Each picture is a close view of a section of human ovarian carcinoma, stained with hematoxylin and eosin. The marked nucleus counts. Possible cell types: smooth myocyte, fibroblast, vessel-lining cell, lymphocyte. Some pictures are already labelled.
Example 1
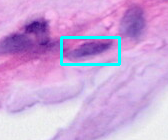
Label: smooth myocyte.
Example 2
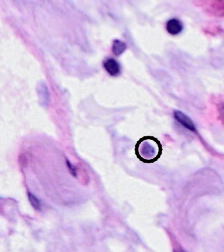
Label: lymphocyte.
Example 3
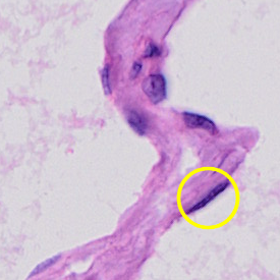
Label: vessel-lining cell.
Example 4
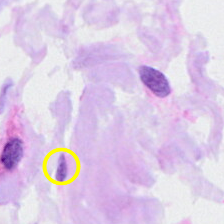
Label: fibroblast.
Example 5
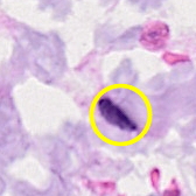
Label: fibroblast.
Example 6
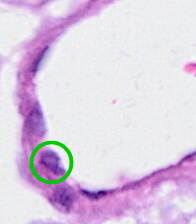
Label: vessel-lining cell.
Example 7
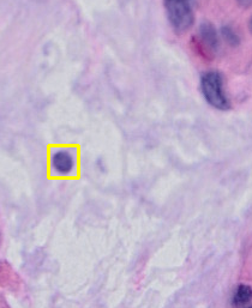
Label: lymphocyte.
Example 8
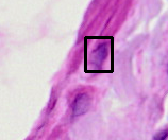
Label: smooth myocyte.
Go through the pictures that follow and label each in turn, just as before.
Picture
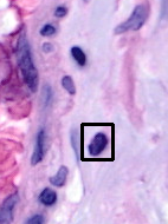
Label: lymphocyte.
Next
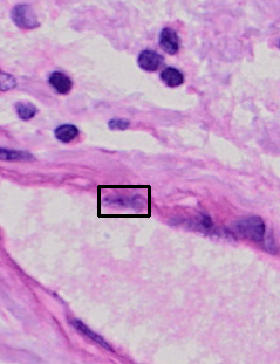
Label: vessel-lining cell.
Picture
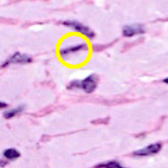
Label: fibroblast.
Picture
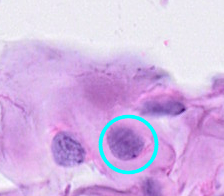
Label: fibroblast.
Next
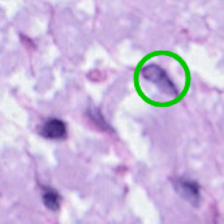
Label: fibroblast.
